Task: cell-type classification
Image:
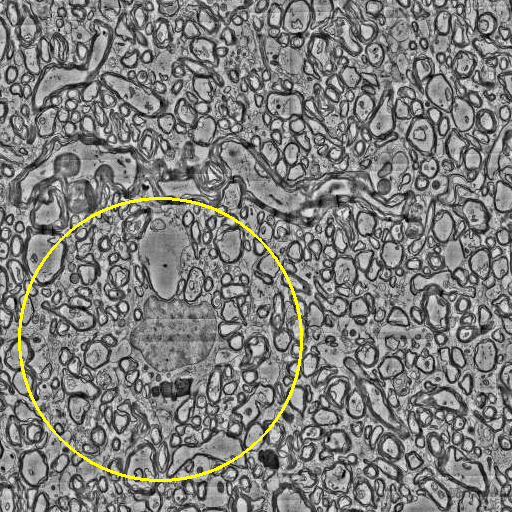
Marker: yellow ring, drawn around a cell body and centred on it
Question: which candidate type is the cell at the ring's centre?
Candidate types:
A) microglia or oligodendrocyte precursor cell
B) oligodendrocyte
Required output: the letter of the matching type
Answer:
B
